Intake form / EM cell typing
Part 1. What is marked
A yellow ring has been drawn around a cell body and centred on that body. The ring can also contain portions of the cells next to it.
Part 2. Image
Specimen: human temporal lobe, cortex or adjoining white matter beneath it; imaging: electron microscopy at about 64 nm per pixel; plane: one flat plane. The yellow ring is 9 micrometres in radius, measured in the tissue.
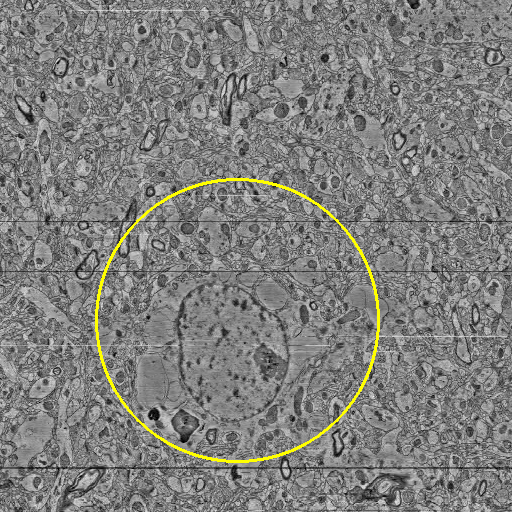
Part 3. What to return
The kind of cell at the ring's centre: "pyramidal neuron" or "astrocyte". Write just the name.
astrocyte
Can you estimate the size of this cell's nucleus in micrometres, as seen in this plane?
Roughly 9 by 7 micrometres in this plane, for the nucleus of the ringed cell.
